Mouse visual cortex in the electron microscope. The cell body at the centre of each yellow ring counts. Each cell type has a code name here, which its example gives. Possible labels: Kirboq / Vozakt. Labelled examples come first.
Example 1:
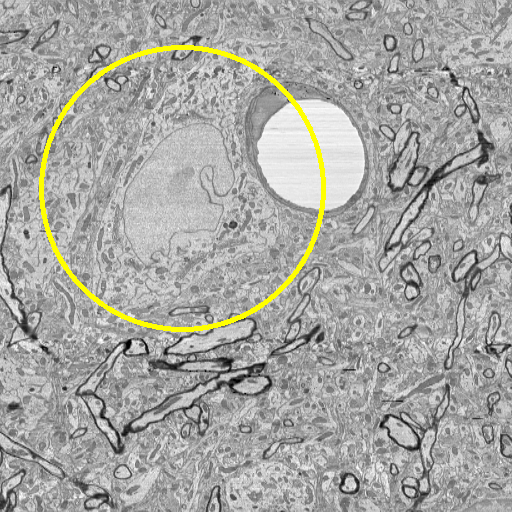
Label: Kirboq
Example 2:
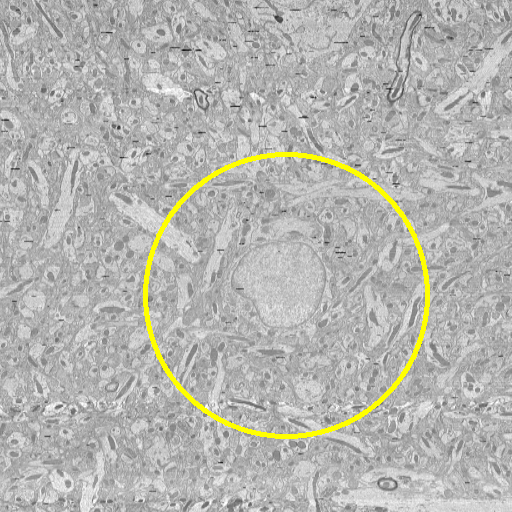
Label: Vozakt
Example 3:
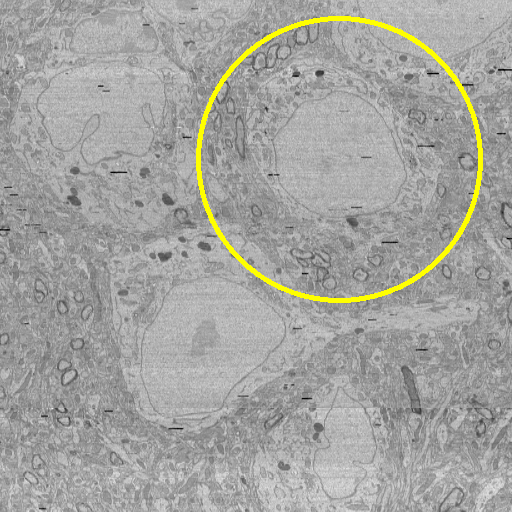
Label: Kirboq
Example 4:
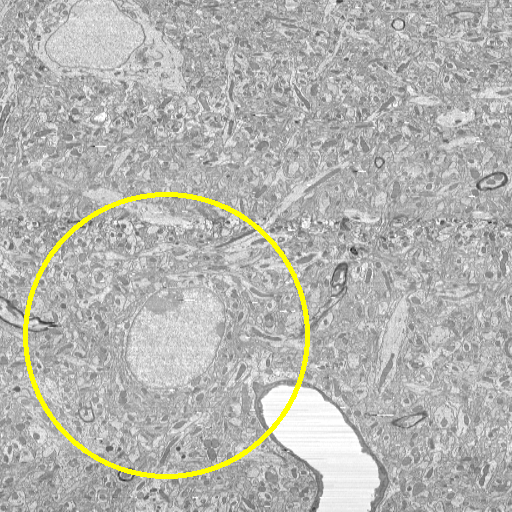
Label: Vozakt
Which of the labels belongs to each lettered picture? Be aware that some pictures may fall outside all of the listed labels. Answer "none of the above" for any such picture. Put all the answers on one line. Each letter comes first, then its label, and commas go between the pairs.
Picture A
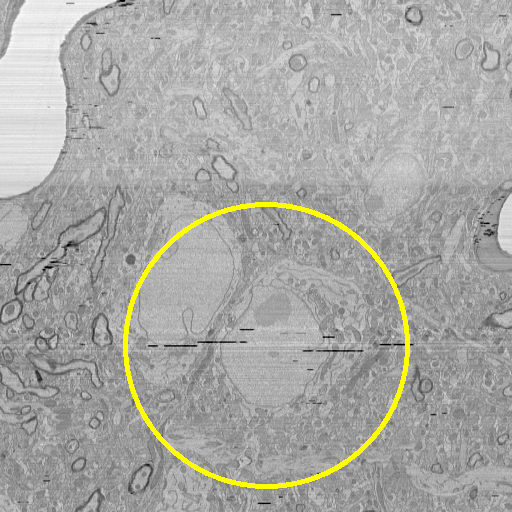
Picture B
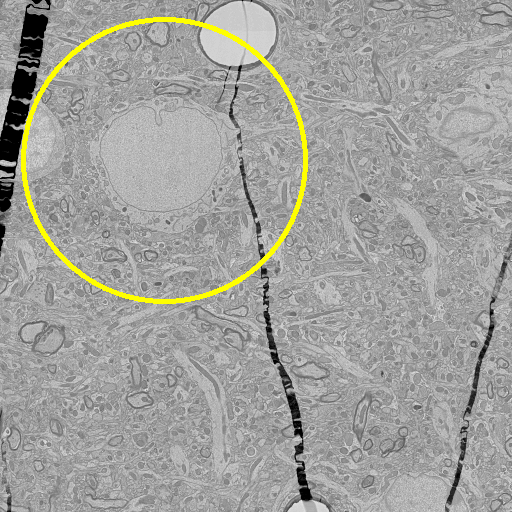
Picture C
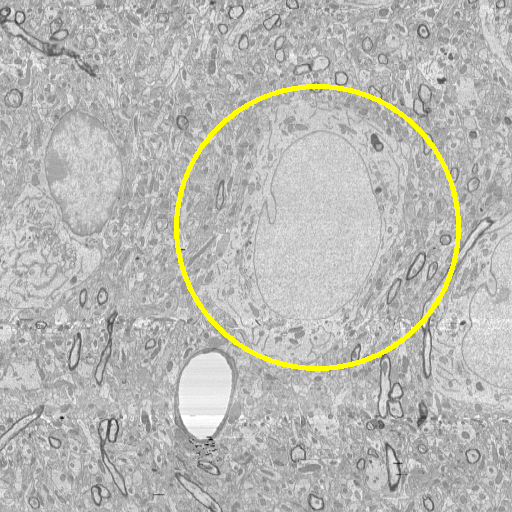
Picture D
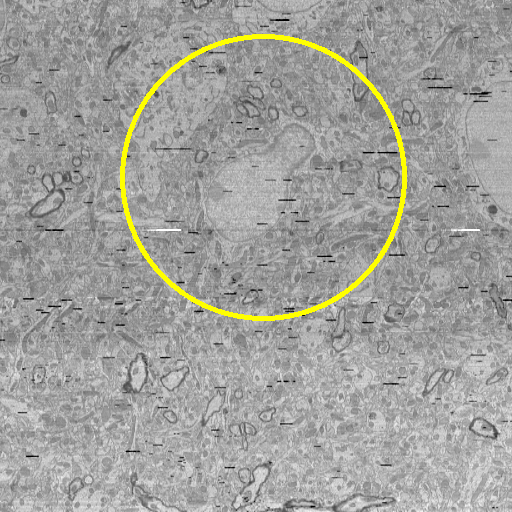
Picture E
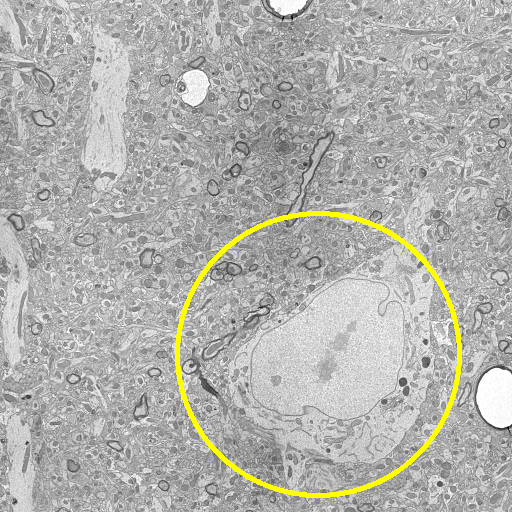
A Kirboq, B none of the above, C none of the above, D Vozakt, E none of the above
